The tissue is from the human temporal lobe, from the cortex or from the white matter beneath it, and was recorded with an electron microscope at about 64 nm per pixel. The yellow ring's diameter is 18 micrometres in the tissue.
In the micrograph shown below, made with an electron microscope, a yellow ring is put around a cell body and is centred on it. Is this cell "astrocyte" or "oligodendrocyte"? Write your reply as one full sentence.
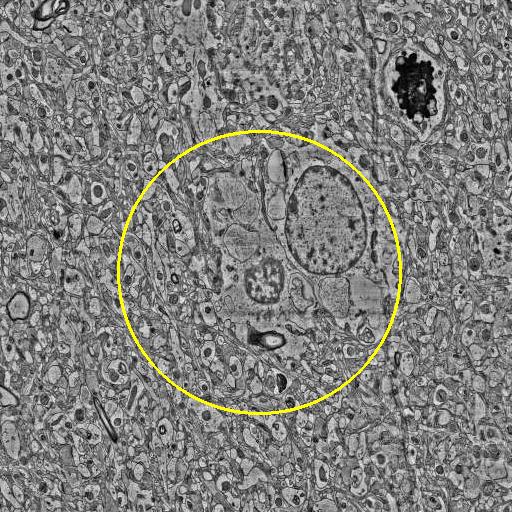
In the micrograph, an astrocyte is the cell at the centre of the yellow ring.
